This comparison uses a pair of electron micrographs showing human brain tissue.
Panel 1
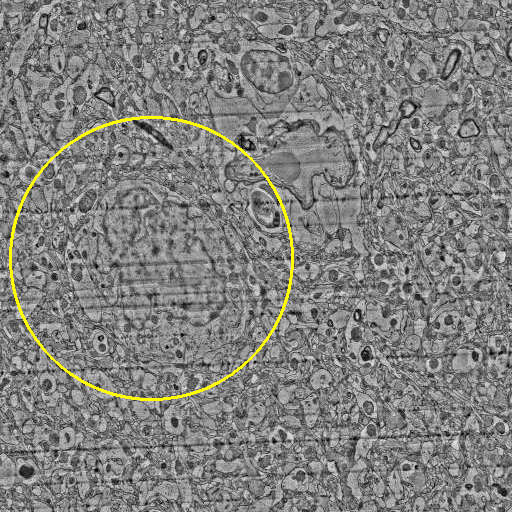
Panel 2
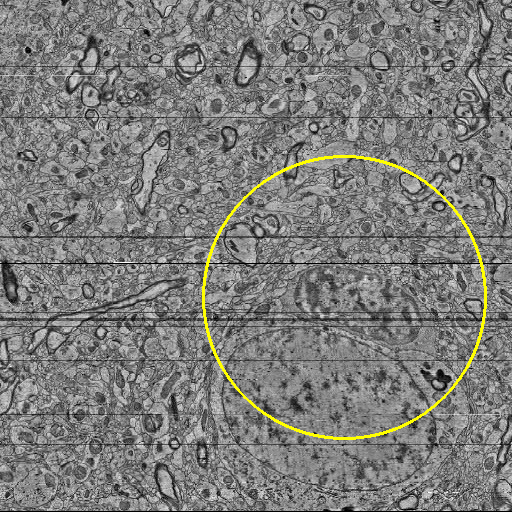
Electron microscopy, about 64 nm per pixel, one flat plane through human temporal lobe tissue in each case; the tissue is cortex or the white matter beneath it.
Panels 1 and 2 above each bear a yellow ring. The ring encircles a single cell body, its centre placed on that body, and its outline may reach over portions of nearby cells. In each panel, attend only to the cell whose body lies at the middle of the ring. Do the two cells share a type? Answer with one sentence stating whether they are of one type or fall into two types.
In Panel 1 and Panel 2, the cells at the centres of the rings fall into two types.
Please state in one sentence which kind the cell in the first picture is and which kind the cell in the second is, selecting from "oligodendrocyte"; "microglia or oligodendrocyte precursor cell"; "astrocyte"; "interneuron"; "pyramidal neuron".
The first ringed cell is an interneuron, the second ringed cell an oligodendrocyte.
